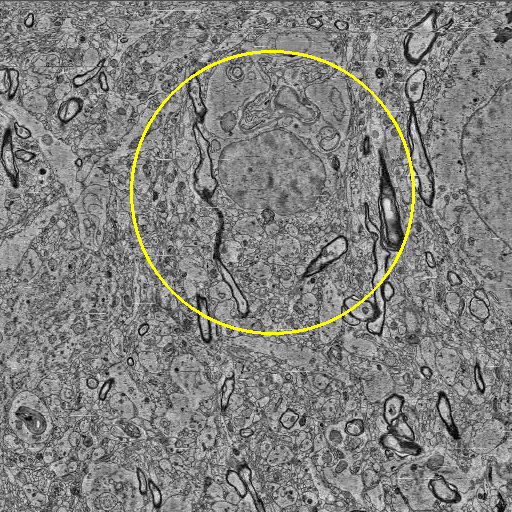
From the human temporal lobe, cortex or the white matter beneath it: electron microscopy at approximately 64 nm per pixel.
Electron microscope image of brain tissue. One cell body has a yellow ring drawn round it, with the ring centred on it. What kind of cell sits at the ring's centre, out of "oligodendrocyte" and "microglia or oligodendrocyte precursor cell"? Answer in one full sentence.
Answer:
It is an oligodendrocyte whose cell body sits at the centre of the yellow ring.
